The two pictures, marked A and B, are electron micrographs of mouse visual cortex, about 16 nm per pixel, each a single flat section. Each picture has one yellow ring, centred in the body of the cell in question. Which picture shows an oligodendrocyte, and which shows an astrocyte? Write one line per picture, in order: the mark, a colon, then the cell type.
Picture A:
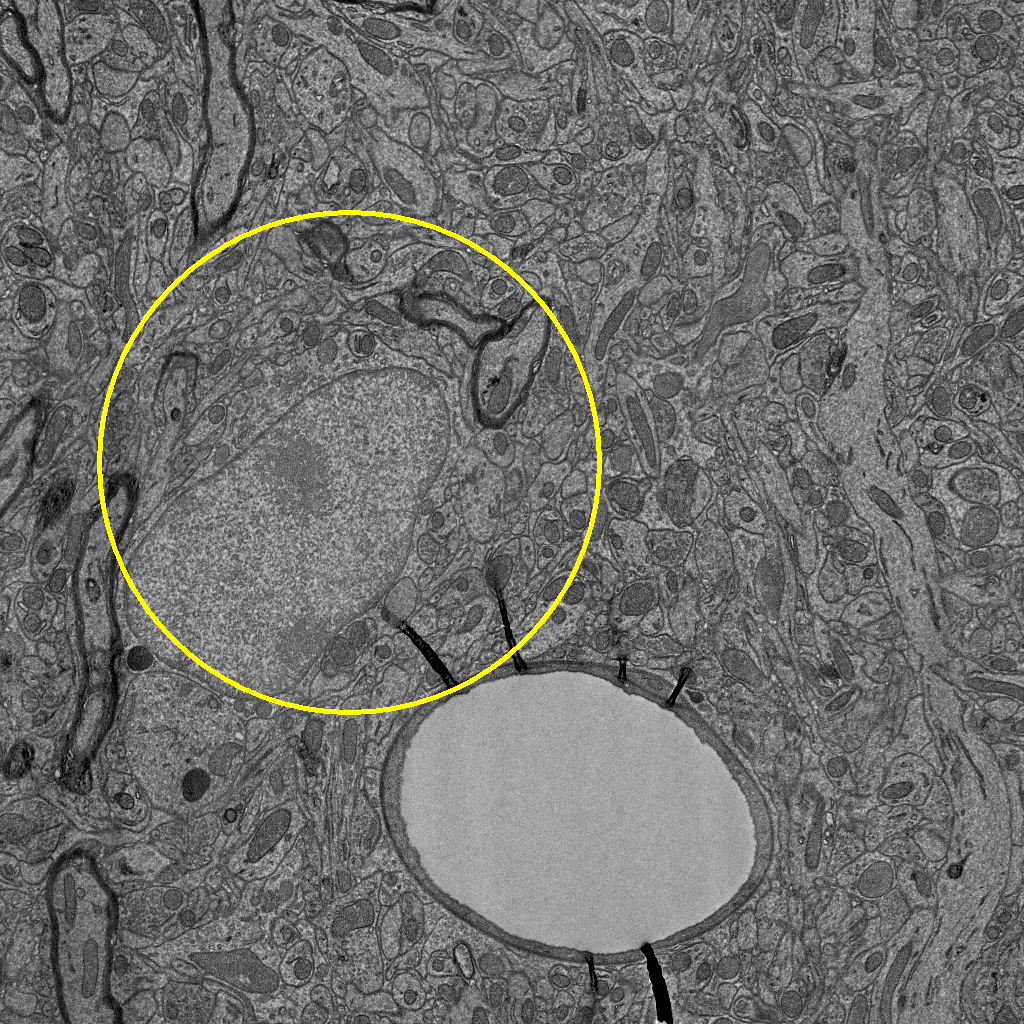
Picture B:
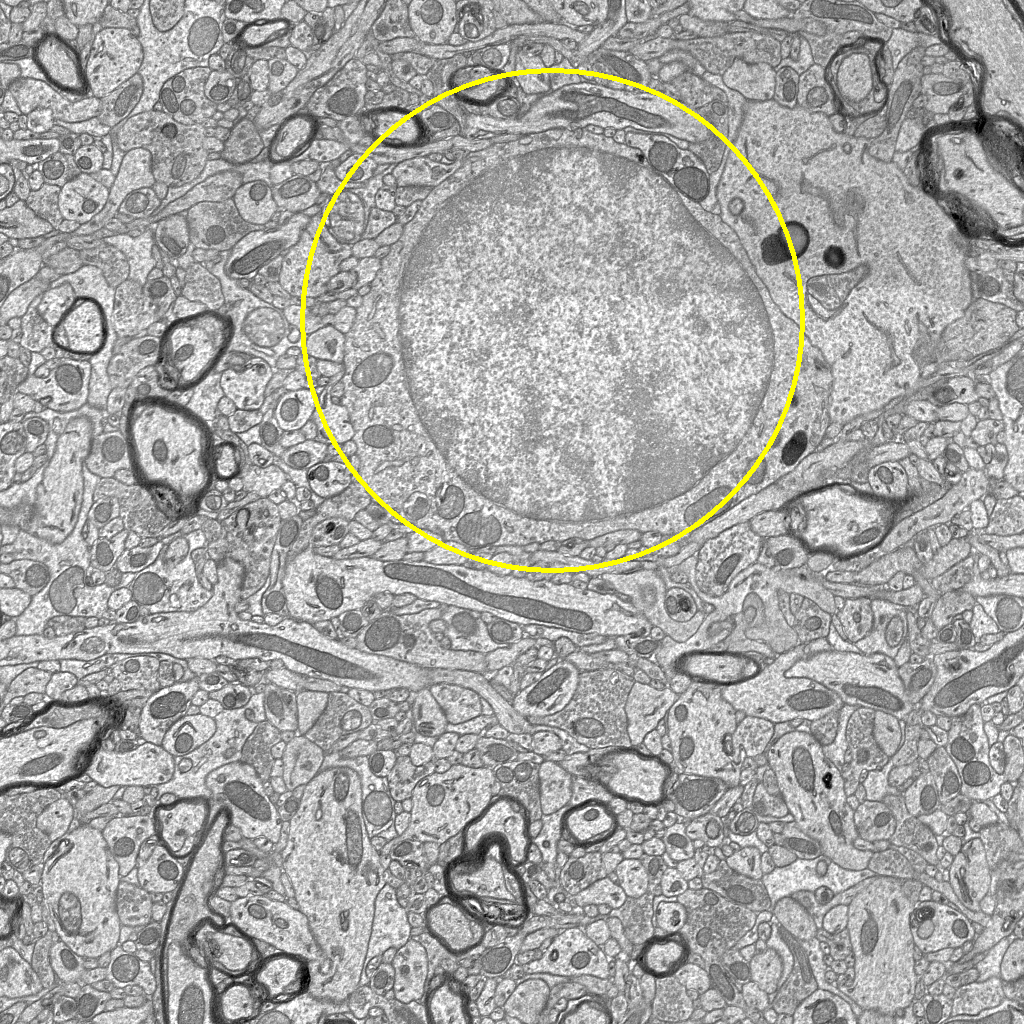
A: astrocyte
B: oligodendrocyte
